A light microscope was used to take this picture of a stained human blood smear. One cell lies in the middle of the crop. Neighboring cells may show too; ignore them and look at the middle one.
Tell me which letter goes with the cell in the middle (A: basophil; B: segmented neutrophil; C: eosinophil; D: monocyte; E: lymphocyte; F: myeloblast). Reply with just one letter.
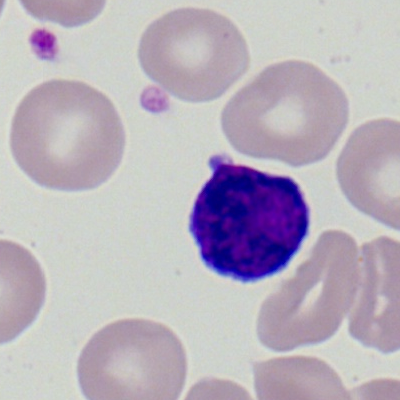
E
